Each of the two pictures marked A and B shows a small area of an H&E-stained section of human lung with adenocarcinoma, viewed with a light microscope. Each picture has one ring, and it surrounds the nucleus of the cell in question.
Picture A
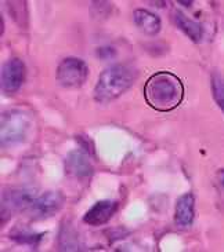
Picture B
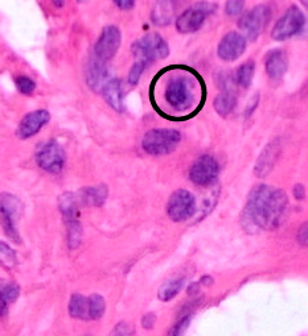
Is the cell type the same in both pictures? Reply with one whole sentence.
Yes; the cells in both pictures are plasma cells.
